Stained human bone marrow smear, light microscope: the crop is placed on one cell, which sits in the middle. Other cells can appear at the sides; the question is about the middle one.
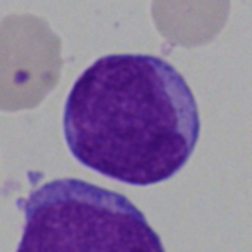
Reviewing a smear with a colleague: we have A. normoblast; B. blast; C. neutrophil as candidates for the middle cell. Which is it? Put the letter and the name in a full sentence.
The one to choose is option B, as the cell in the middle is a blast.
